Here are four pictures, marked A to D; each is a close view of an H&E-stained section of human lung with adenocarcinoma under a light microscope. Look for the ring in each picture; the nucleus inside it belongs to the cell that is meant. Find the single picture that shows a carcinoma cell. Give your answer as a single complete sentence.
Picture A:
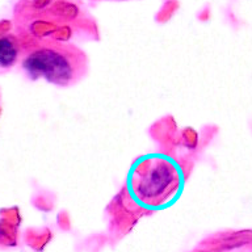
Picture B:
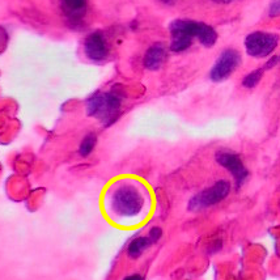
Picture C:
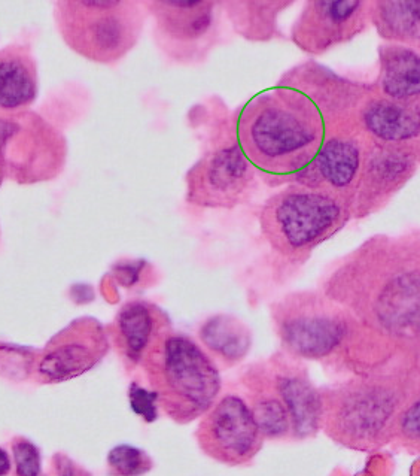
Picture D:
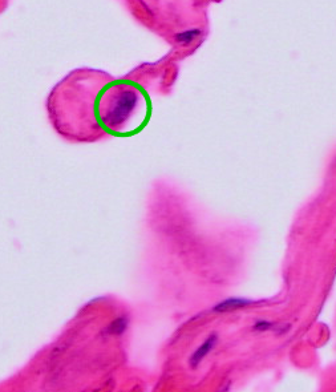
Picture C shows the carcinoma cell.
